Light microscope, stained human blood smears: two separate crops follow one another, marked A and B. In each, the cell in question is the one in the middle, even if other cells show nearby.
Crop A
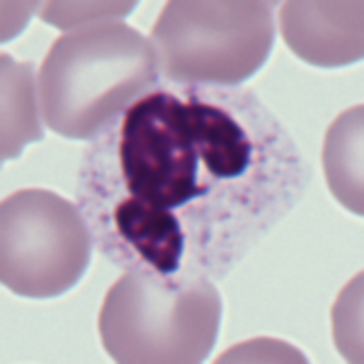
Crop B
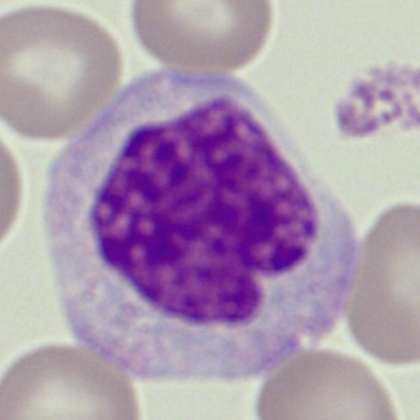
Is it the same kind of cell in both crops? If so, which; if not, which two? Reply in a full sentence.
No, a neutrophil is in crop A, while a monocyte is in crop B.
